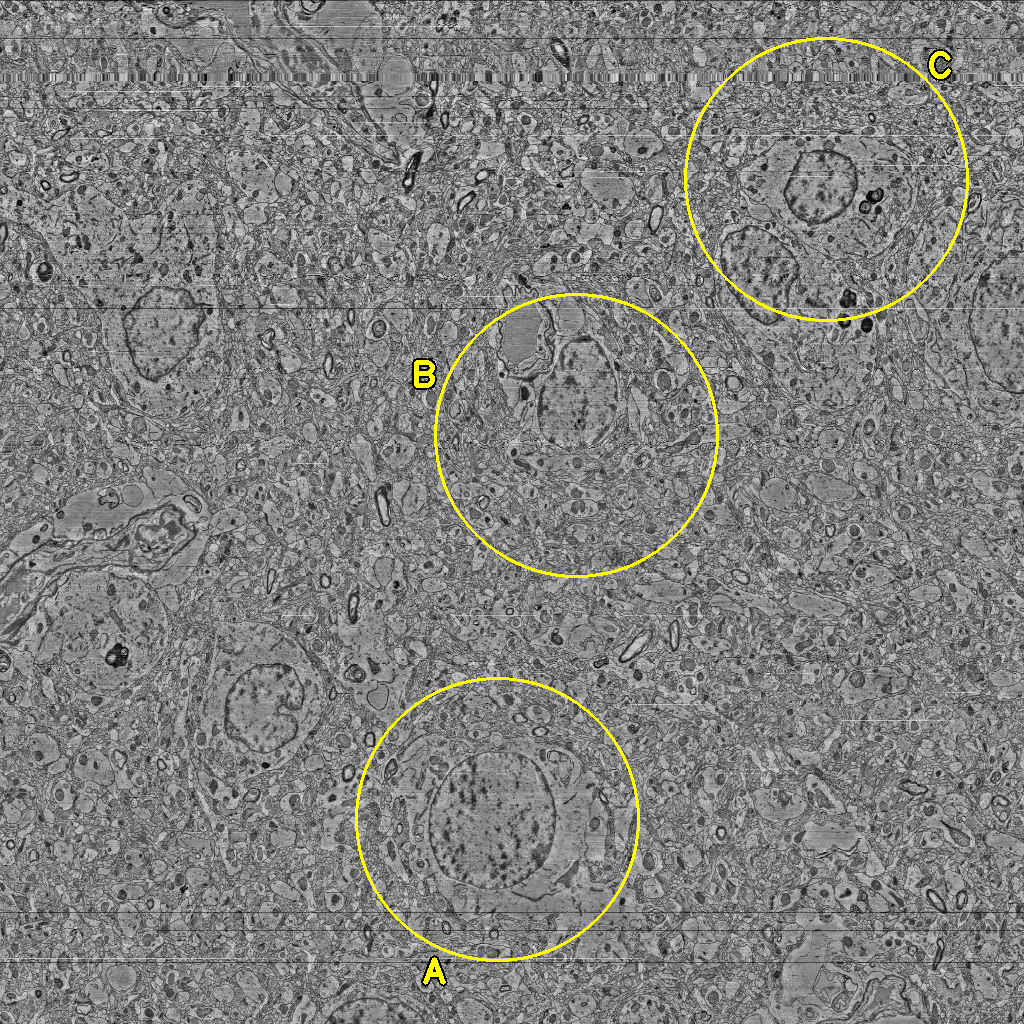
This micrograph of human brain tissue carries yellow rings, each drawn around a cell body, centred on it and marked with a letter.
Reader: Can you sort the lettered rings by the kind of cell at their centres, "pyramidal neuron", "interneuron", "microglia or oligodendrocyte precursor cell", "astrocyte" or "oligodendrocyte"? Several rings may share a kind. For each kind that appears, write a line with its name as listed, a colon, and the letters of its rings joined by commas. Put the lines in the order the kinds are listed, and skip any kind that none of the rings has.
pyramidal neuron: C
microglia or oligodendrocyte precursor cell: B
astrocyte: A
